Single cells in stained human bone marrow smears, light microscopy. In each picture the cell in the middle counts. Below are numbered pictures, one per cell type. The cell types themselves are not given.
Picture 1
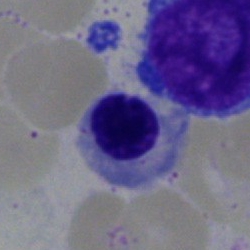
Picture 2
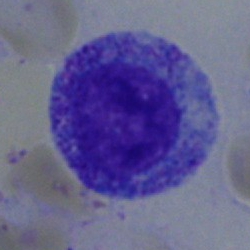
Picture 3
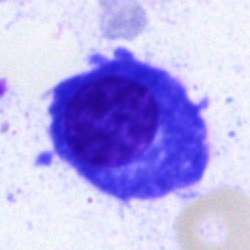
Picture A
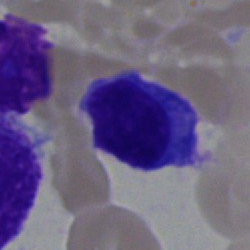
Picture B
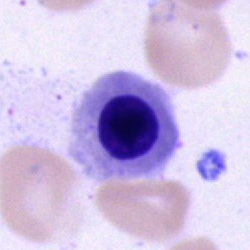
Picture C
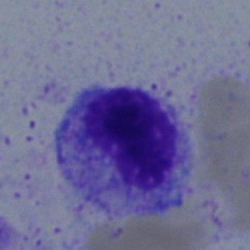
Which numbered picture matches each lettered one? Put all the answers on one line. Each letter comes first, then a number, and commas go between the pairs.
A 3, B 1, C 2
